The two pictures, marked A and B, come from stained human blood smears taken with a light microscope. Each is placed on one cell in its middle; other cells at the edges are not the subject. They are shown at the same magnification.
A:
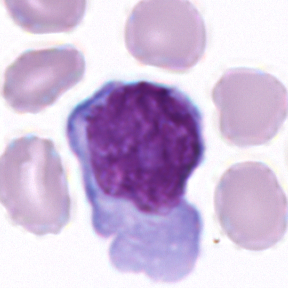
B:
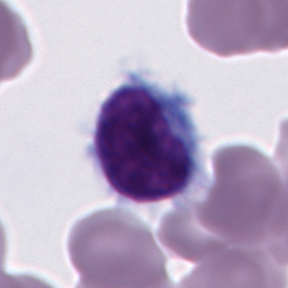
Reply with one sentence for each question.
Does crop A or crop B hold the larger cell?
It is the cell in crop A, about 2 times as large in area as the cell in crop B.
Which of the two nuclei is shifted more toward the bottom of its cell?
It is the nucleus in crop B that lies further toward the bottom of its cell.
